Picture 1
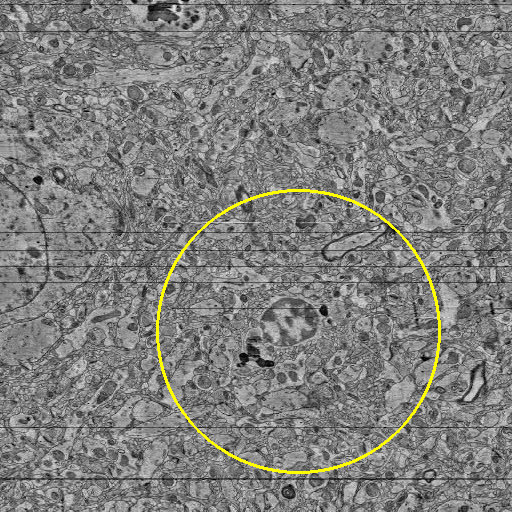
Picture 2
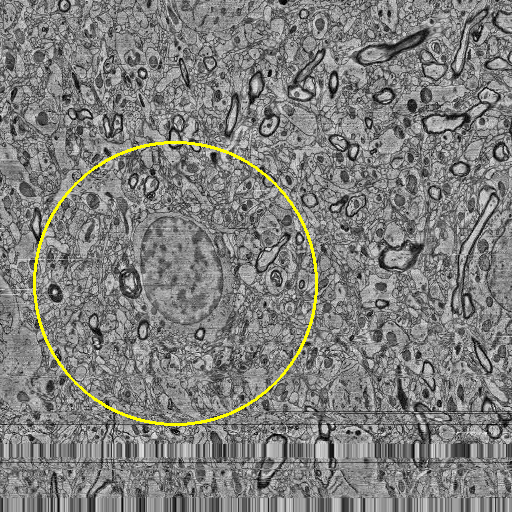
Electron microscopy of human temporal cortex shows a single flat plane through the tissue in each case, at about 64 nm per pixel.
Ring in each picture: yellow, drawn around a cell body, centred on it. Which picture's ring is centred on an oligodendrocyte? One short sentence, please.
Picture 2 is the one.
